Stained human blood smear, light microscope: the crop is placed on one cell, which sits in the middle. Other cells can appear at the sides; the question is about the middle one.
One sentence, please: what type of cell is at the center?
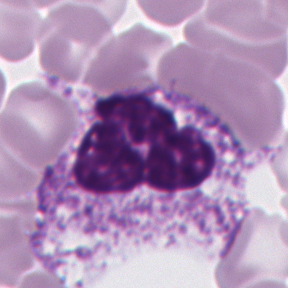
The middle cell in this particular crop is a segmented neutrophil.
